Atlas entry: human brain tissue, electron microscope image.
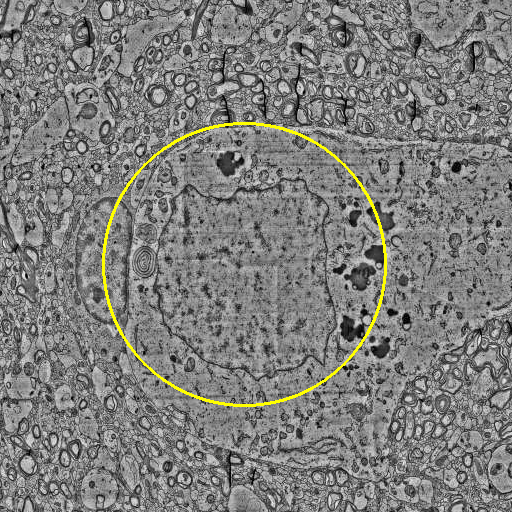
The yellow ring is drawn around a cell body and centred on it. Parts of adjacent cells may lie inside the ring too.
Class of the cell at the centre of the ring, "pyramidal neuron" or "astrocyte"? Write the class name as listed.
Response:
pyramidal neuron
